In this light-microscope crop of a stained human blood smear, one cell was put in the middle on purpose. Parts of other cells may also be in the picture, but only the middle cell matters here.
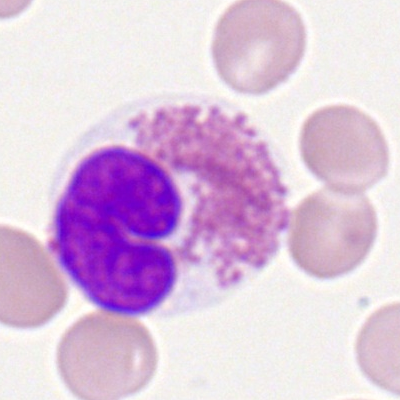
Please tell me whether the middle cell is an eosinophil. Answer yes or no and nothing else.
yes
